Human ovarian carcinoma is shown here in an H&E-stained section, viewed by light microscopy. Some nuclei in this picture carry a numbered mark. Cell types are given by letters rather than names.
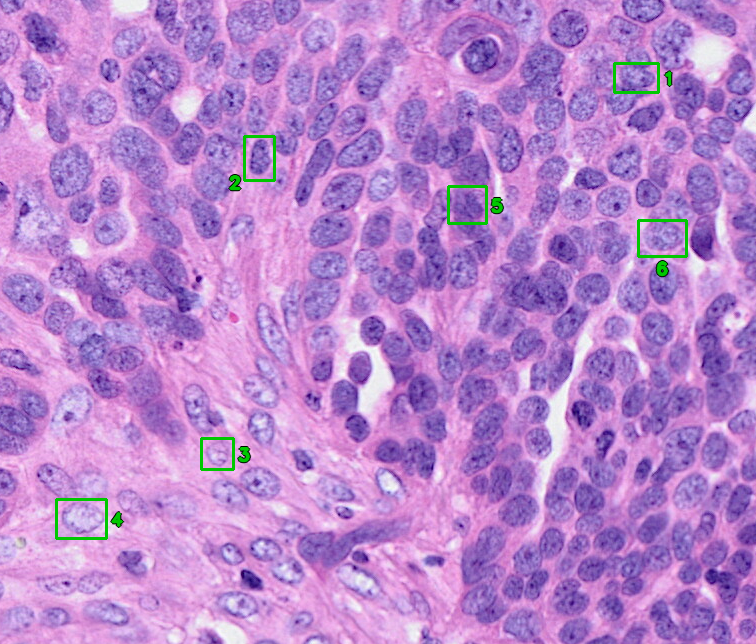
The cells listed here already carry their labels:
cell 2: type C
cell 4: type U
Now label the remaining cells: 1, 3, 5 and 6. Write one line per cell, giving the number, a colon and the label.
1: type C
3: type U
5: type C
6: type C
